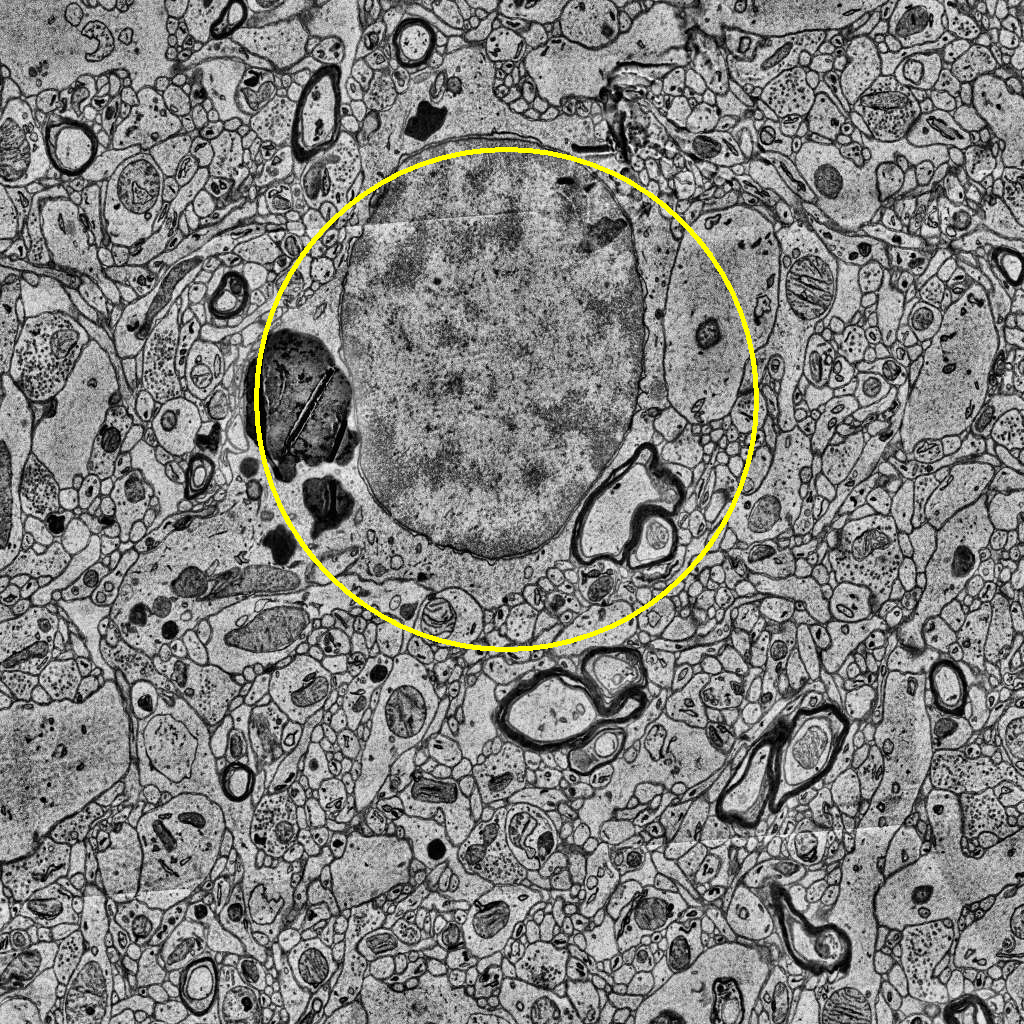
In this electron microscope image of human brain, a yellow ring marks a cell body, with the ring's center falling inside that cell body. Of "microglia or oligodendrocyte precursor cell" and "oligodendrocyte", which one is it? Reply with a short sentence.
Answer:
It is an oligodendrocyte at the center of the ring.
